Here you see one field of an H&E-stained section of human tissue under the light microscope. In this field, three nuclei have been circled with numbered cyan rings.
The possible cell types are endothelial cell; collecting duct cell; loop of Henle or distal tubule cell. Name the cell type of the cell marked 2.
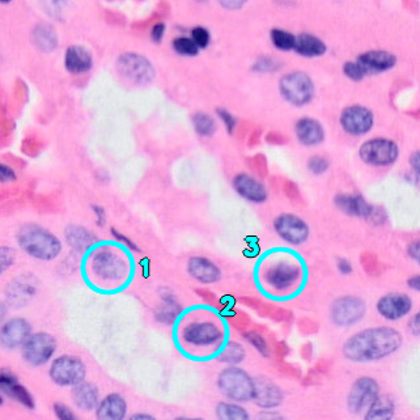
collecting duct cell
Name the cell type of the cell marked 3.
loop of Henle or distal tubule cell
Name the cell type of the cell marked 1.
collecting duct cell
